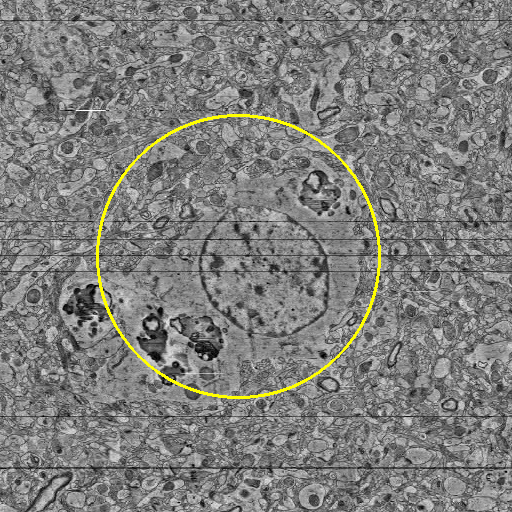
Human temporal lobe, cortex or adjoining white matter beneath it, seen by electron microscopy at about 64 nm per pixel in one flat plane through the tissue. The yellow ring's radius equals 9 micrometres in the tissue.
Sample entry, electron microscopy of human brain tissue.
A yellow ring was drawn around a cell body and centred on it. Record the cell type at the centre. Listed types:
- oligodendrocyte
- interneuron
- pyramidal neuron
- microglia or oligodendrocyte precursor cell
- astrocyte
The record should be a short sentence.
The cell at the ring's centre is an astrocyte.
